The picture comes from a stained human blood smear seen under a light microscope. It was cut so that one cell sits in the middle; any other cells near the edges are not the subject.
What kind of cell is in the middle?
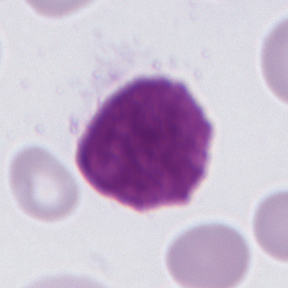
smudge cell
